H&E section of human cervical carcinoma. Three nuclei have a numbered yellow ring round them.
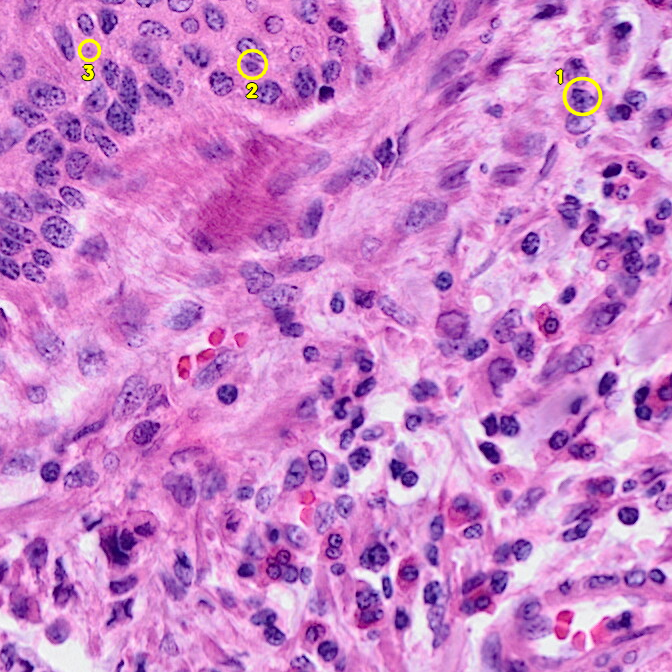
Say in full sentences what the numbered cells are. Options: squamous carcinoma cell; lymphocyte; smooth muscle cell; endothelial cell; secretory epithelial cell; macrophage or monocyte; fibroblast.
Cell 1 is a lymphocyte, cell 2 is a squamous carcinoma cell and cell 3 is a squamous carcinoma cell.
